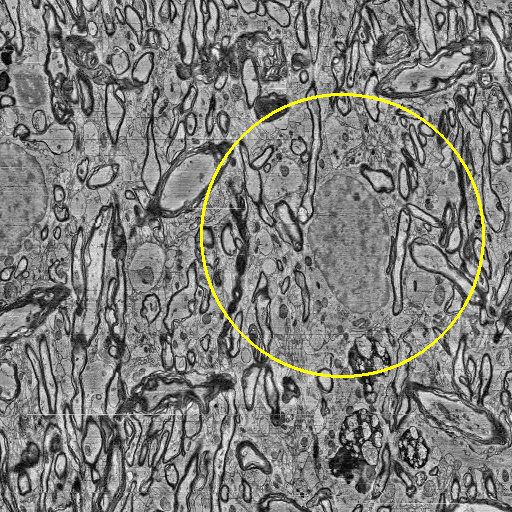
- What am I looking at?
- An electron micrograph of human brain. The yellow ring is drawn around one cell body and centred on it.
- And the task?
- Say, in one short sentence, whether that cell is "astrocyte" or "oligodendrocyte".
The cell in the middle of the ring is an oligodendrocyte.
